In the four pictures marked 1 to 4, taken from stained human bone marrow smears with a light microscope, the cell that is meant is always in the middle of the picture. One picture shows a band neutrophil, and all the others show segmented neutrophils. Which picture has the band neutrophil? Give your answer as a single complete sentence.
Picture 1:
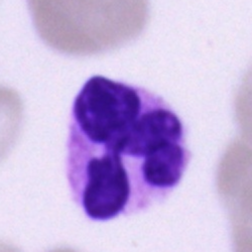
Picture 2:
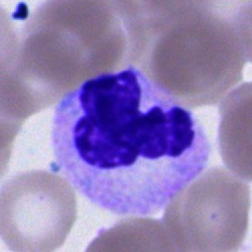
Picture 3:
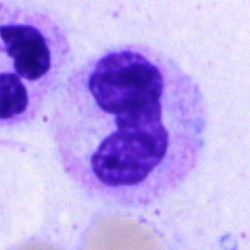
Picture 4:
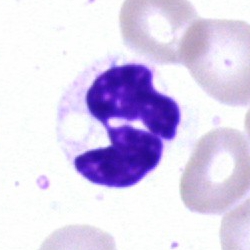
It is picture 3 that shows the band neutrophil.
